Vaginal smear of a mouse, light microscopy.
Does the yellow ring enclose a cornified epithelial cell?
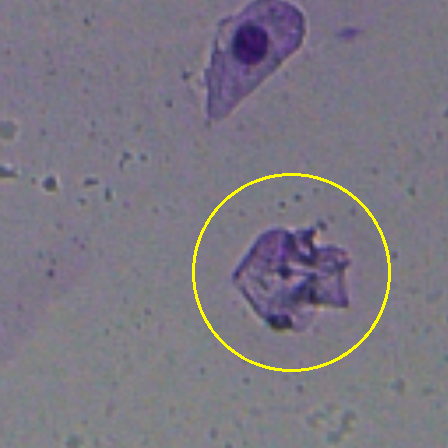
Yes. The ring encloses a cornified epithelial cell.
